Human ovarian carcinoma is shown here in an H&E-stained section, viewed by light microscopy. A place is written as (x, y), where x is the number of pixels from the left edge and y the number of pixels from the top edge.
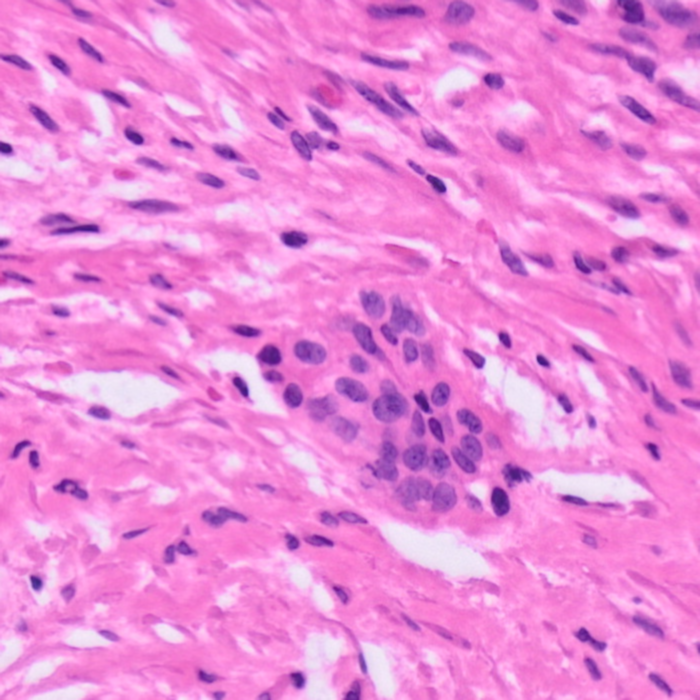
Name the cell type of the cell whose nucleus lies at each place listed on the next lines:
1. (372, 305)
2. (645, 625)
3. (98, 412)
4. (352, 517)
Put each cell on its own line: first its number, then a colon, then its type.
1: carcinoma cell
2: fibroblast
3: fibroblast
4: fibroblast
